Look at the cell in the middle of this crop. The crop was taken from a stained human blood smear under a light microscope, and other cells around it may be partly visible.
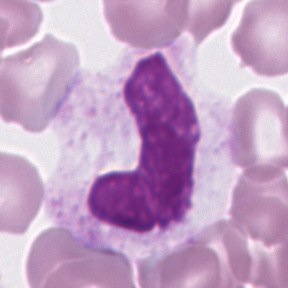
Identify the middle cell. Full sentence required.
The middle of this crop holds a band neutrophil.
